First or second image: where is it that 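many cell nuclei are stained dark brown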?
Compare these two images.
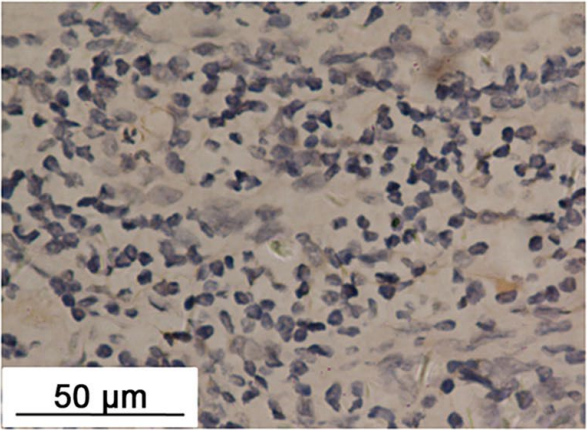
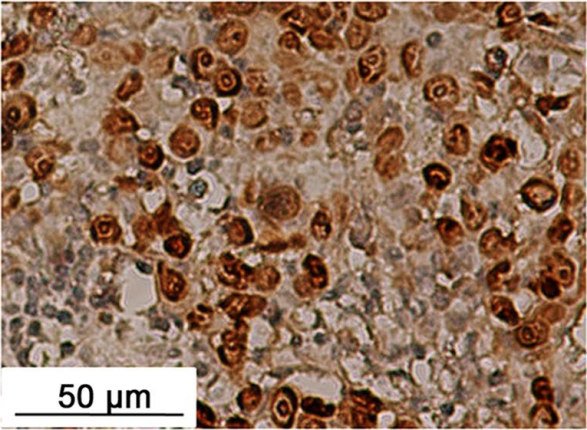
The second image.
